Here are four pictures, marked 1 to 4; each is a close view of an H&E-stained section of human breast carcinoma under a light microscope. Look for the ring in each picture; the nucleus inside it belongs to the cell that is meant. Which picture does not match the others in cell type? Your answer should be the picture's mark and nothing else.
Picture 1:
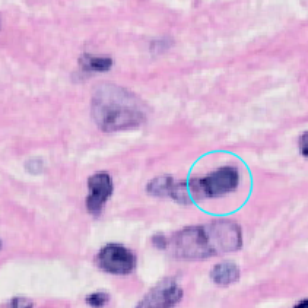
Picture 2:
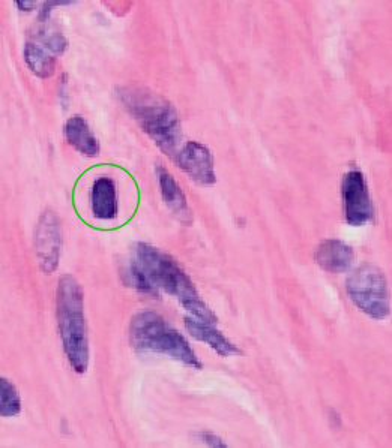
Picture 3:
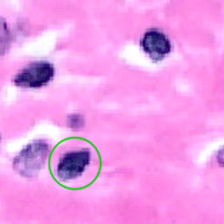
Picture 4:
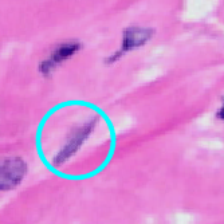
4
